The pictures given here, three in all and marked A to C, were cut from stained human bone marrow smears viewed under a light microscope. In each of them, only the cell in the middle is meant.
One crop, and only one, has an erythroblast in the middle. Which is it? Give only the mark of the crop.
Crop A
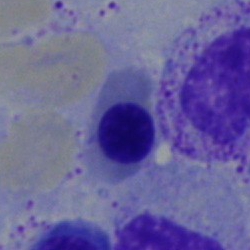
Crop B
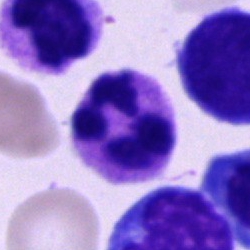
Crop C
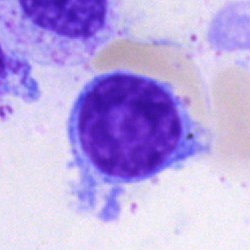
A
